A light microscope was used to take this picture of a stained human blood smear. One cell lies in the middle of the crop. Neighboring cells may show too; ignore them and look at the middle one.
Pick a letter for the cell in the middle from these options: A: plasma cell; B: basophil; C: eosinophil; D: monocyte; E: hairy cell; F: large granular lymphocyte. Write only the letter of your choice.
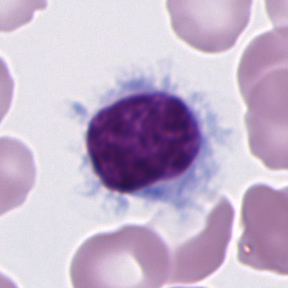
E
